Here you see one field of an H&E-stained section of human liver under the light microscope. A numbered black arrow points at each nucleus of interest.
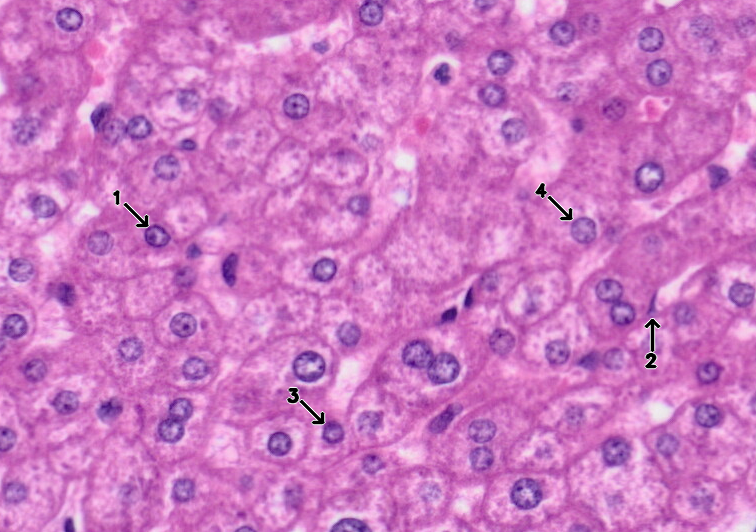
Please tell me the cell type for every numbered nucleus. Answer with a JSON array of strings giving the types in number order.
["hepatocyte", "fibroblast or stellate cell", "hepatocyte", "hepatocyte"]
